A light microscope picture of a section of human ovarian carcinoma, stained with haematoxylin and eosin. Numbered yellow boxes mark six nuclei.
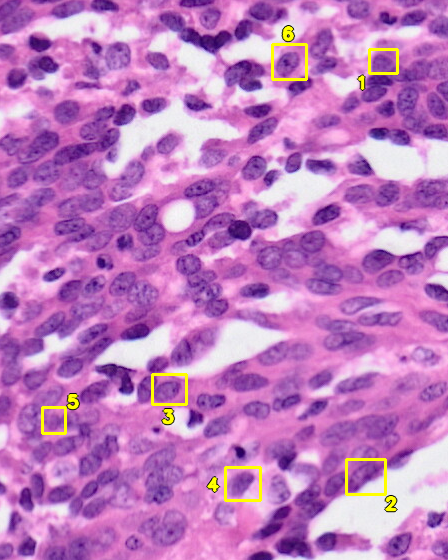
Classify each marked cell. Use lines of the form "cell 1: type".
cell 1: carcinoma cell
cell 2: carcinoma cell
cell 3: carcinoma cell
cell 4: macrophage or monocyte
cell 5: carcinoma cell
cell 6: macrophage or monocyte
